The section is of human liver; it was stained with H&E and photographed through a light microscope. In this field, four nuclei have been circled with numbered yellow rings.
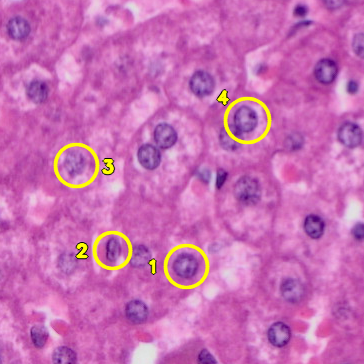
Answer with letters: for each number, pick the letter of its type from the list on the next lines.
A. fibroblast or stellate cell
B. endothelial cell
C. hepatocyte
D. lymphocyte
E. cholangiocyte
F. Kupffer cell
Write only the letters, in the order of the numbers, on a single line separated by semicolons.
C; F; C; C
